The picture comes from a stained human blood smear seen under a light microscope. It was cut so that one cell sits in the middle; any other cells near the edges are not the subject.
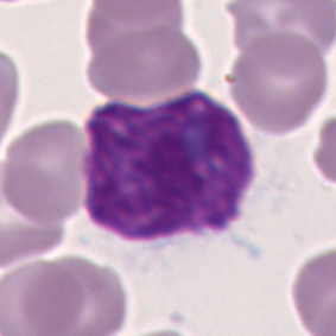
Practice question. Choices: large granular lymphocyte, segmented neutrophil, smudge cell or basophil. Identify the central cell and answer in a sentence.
This crop has a smudge cell at its centre.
